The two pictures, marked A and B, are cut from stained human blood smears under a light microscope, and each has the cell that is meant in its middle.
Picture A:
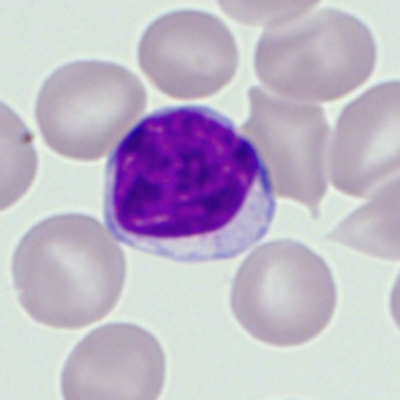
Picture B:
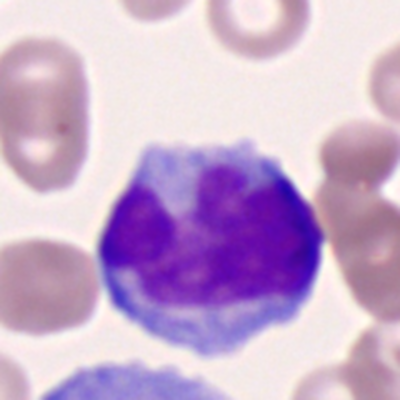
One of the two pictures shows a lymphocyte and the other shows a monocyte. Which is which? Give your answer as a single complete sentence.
The cell in picture A is a lymphocyte, and the one in picture B is a monocyte.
